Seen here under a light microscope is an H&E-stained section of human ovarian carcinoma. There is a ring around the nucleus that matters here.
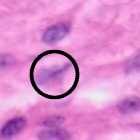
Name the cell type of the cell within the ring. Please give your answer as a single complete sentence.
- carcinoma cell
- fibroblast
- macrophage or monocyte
Typologically, the cell within the ring is a fibroblast in this section.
